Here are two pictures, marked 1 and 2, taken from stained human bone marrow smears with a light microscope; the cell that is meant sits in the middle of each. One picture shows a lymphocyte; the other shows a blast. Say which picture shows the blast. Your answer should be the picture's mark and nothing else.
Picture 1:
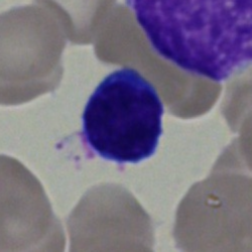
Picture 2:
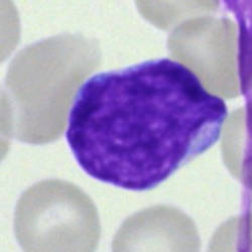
2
